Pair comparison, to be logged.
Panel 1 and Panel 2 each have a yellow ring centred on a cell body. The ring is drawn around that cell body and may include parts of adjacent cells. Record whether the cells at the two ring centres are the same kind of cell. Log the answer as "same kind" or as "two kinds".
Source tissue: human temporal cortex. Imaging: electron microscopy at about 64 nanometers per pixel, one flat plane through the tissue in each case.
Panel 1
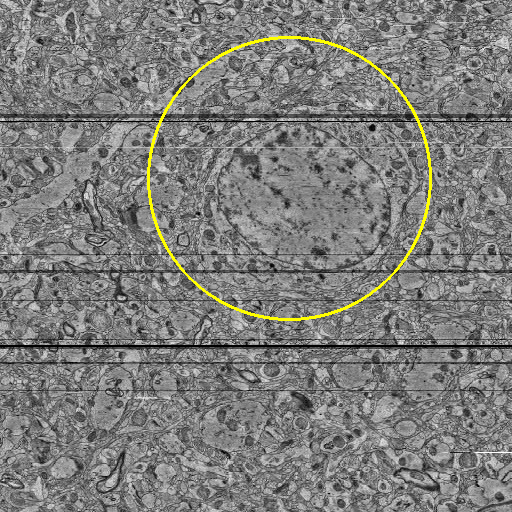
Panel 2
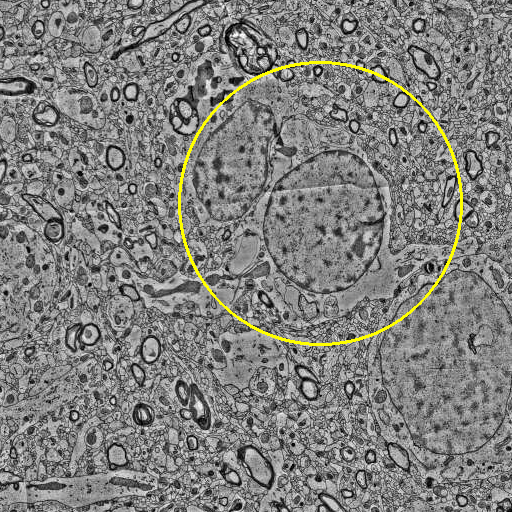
two kinds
